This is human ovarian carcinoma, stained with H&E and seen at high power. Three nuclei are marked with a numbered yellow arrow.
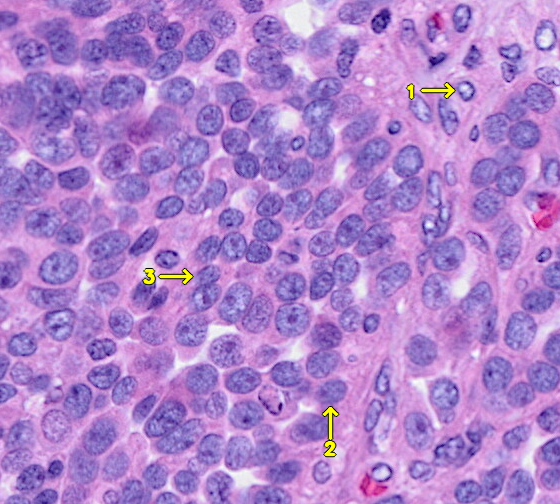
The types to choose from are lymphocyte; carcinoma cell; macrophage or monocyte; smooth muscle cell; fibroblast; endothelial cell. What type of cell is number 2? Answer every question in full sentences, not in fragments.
To a carcinoma cell belongs the nucleus marked 2.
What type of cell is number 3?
At number 3, the marked cell is a carcinoma cell.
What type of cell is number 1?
To a fibroblast belongs the nucleus marked 1.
